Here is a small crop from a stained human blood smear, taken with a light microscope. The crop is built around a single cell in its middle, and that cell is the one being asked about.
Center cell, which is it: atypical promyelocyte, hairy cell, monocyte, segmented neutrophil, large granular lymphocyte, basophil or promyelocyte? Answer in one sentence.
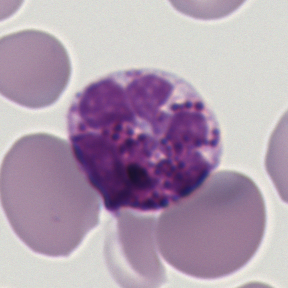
The single cell at the center of the crop is a basophil.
